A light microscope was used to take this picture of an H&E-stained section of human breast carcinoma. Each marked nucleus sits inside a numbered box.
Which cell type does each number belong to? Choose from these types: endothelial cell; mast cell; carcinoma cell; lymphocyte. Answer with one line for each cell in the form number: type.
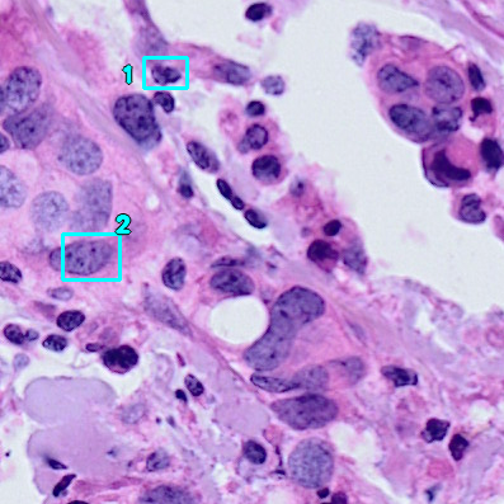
1: lymphocyte
2: carcinoma cell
